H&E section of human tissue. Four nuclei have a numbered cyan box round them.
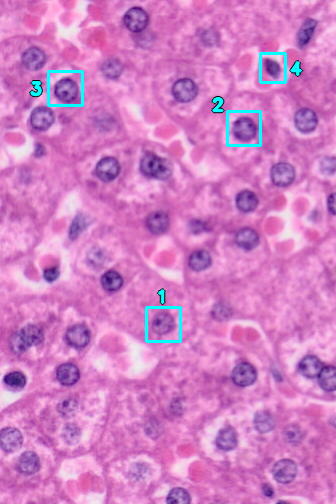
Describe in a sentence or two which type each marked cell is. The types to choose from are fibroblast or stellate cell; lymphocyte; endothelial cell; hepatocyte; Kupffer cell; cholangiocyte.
Cells 1, 2 and 3 are hepatocytes. Cell 4 is a lymphocyte.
